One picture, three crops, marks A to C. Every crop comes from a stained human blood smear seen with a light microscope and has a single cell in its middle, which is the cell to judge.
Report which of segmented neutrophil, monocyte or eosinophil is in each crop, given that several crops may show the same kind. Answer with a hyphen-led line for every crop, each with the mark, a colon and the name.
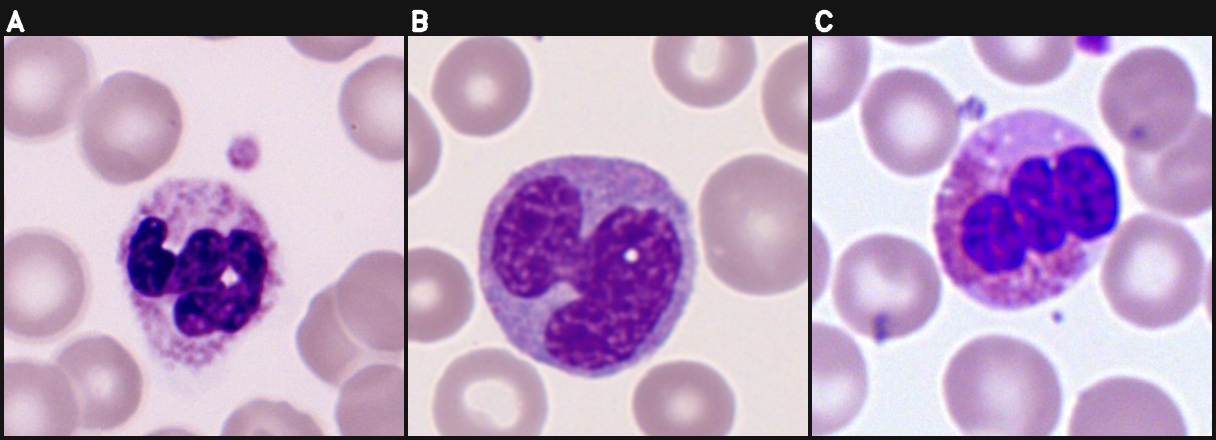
- A: segmented neutrophil
- B: monocyte
- C: eosinophil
